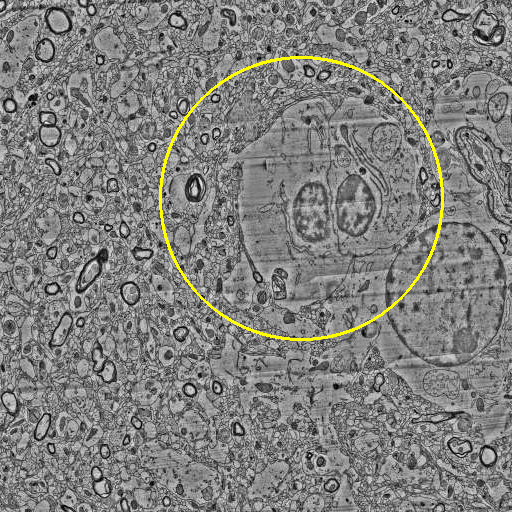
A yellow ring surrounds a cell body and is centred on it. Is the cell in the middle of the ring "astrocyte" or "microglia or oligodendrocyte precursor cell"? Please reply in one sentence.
The ring is centred on an astrocyte.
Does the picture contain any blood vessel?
Yes, a blood vessel can be seen.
